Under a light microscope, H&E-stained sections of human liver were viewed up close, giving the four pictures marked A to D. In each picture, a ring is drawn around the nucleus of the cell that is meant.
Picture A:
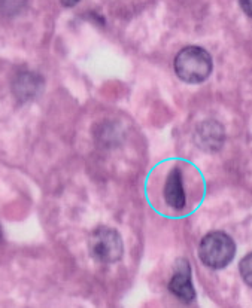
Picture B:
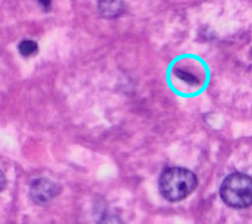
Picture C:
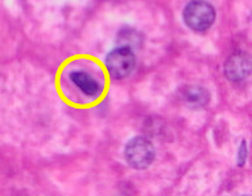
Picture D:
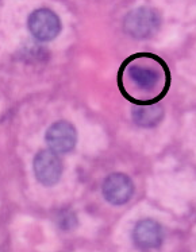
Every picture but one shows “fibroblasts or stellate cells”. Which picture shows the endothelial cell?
B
